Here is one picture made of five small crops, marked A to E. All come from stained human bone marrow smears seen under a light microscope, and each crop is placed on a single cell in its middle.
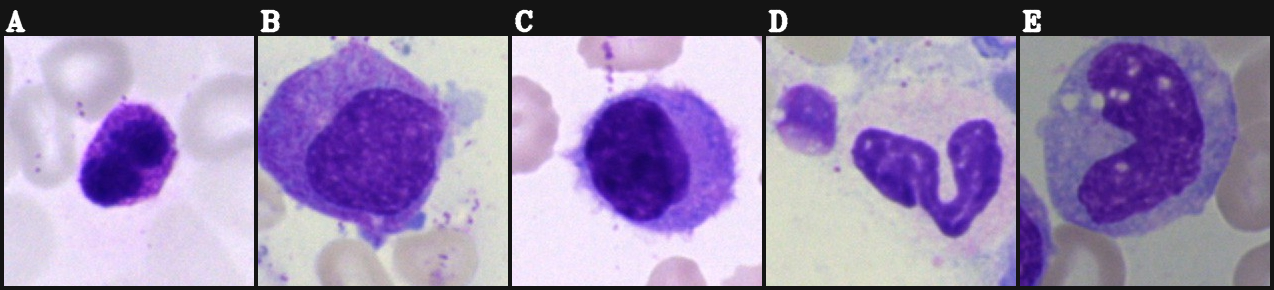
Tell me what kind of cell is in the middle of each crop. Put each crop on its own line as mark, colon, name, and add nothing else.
A: basophil
B: promyelocyte
C: hairy cell
D: segmented neutrophil
E: monocyte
